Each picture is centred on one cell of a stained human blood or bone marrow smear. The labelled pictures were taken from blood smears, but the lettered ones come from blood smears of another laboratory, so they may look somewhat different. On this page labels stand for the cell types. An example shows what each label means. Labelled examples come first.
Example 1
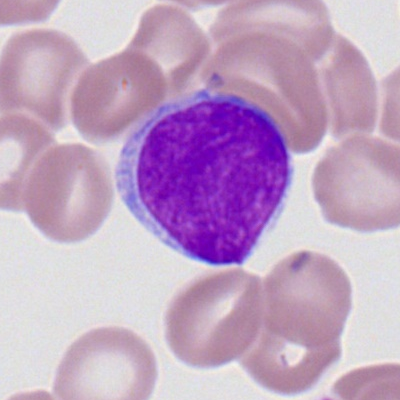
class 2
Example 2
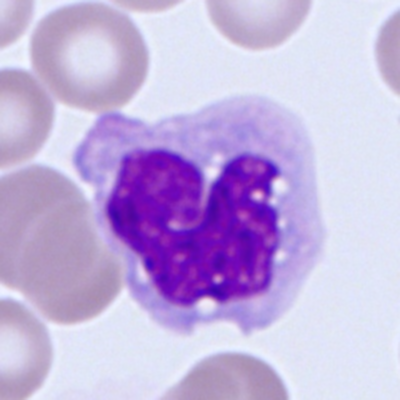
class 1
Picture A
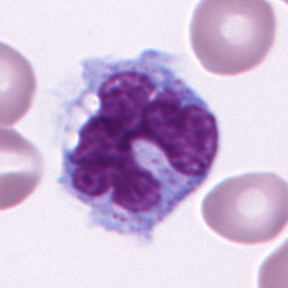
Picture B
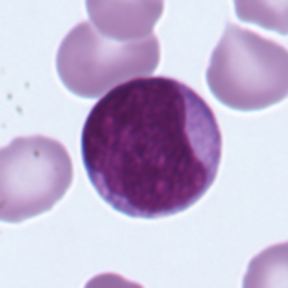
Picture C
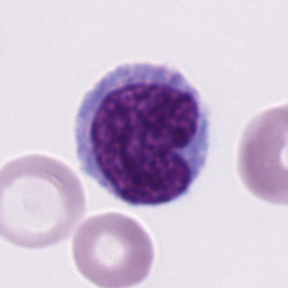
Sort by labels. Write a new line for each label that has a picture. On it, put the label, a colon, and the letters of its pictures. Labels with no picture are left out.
class 2: B
class 1: A, C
